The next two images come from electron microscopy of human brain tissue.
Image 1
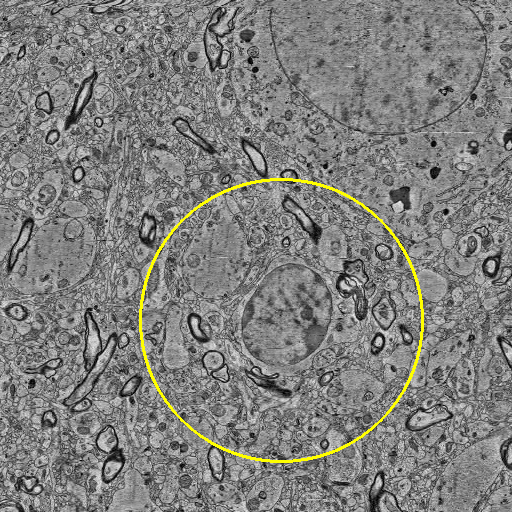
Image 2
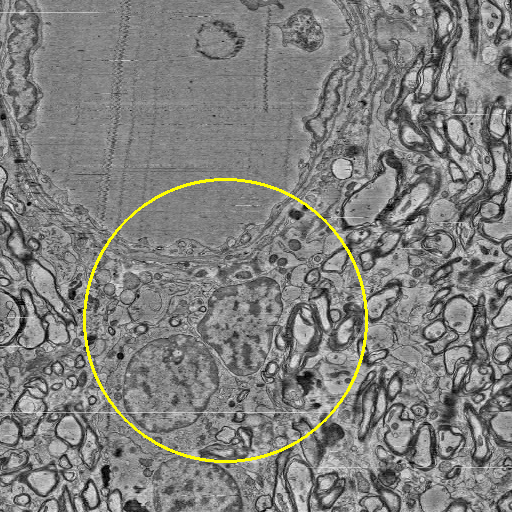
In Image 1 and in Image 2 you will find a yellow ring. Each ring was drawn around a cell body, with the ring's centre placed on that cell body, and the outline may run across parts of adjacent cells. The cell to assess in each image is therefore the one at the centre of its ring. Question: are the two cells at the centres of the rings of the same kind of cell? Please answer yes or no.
yes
